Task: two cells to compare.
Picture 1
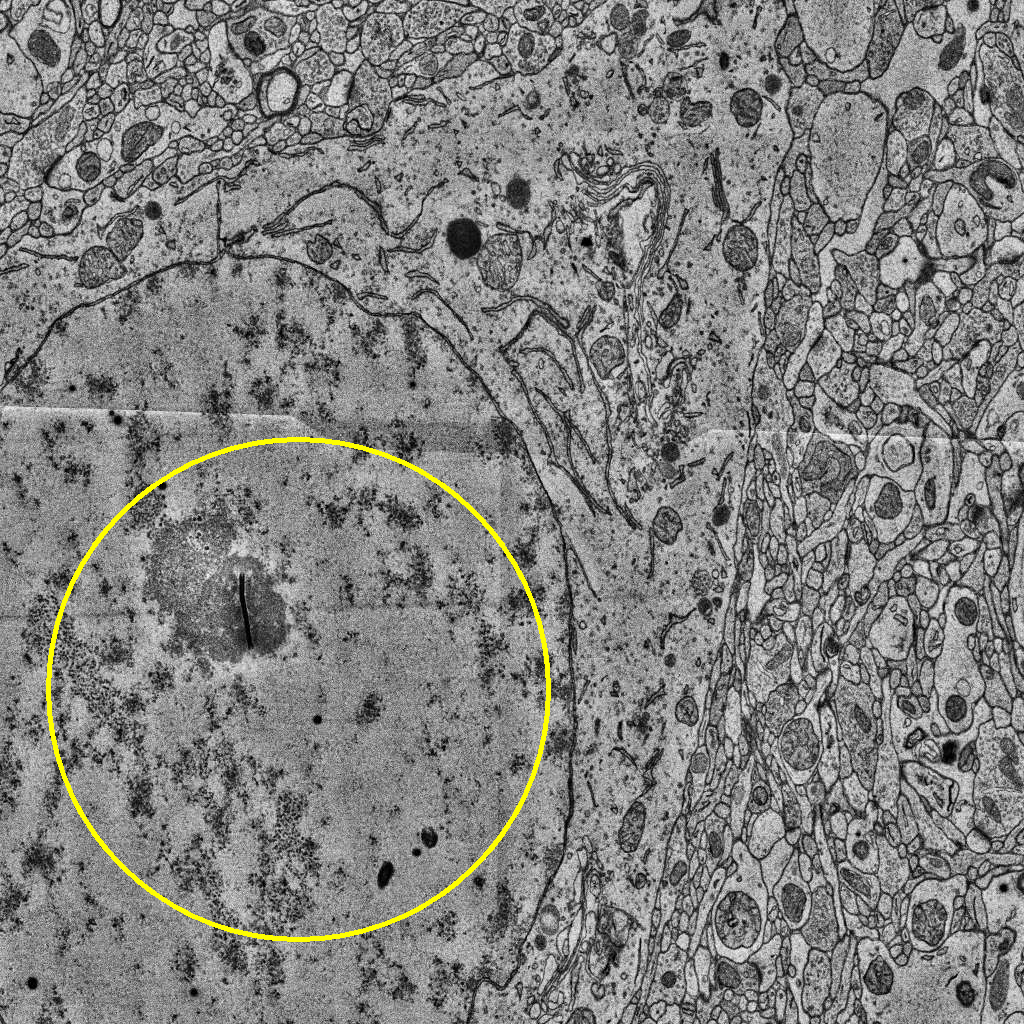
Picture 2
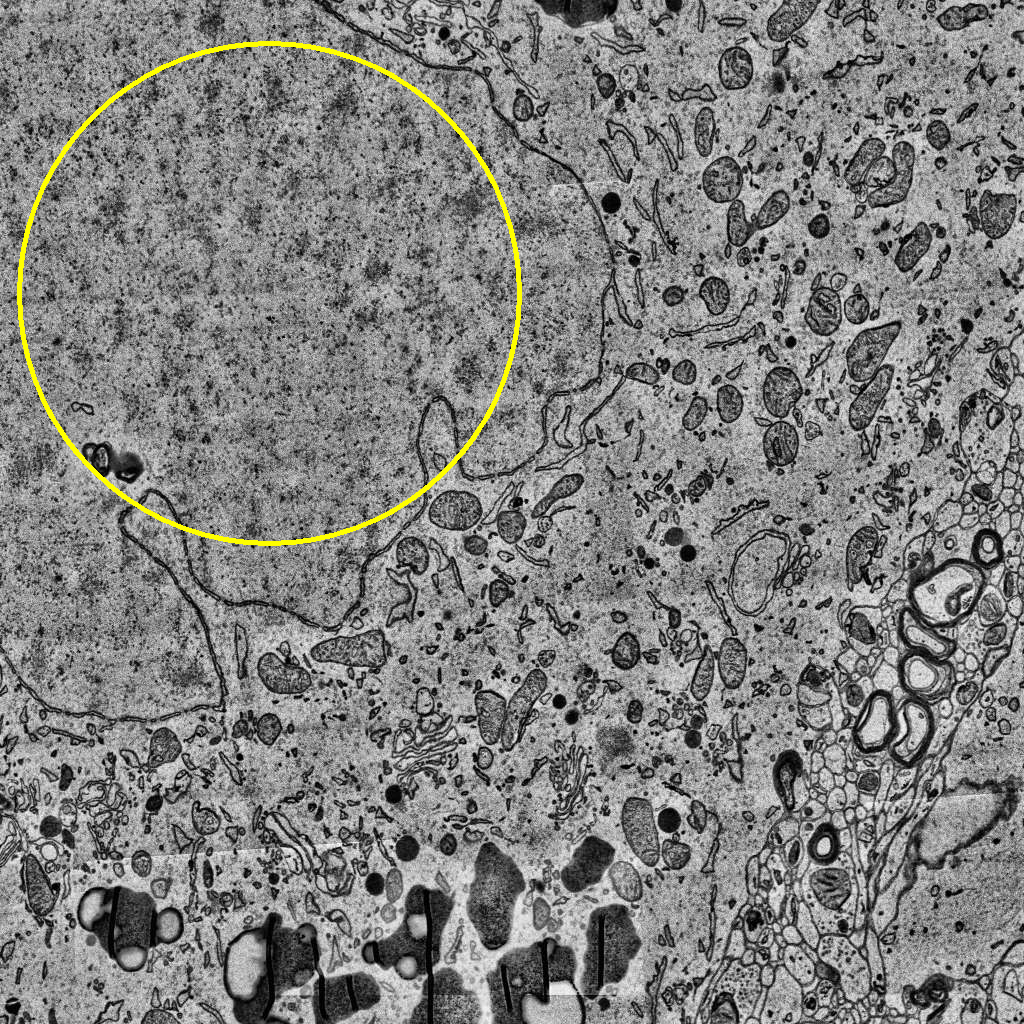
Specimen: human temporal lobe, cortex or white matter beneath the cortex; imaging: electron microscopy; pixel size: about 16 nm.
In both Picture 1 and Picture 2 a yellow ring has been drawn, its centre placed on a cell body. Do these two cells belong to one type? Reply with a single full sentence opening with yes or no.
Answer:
Yes, the two cells at the ring centres in Picture 1 and Picture 2 share one type.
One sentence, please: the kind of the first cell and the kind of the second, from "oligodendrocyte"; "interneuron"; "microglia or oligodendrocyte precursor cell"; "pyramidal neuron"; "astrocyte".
The cell in the first picture is a pyramidal neuron, and so is the one in the second.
